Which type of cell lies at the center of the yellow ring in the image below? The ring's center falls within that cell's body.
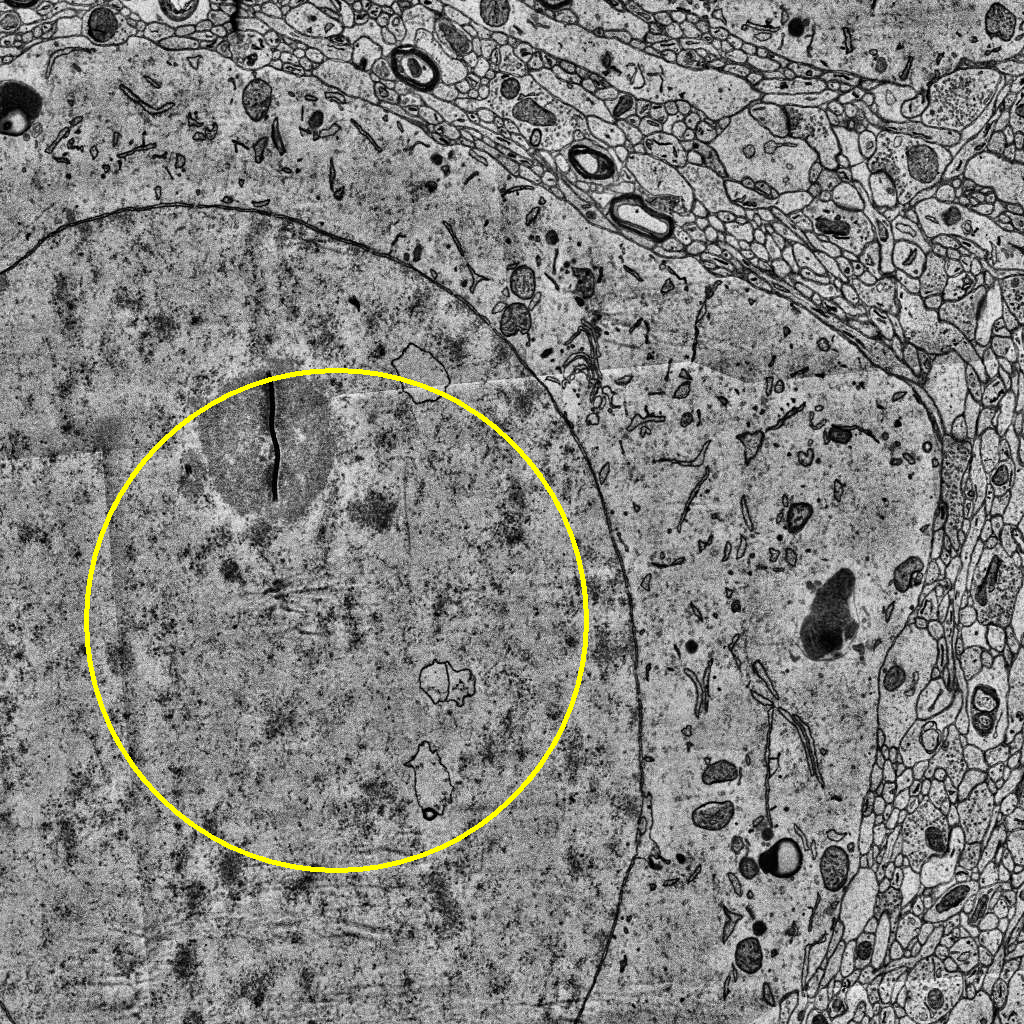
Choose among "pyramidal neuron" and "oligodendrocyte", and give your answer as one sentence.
The cell body at the center belongs to a pyramidal neuron.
